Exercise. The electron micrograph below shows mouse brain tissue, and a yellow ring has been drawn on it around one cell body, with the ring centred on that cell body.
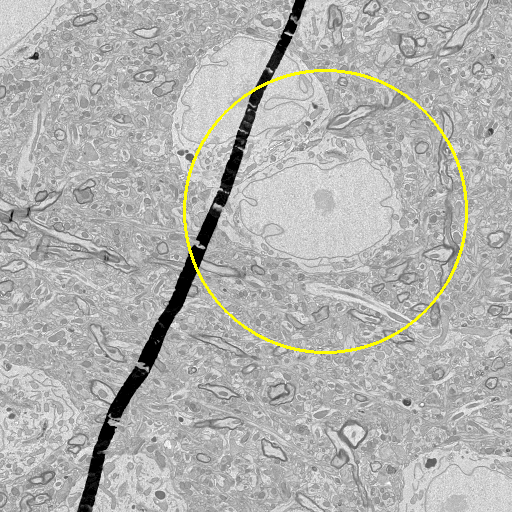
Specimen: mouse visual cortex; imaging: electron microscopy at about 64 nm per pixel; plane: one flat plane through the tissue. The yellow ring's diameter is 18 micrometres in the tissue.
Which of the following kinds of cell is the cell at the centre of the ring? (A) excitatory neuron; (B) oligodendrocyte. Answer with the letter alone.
A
